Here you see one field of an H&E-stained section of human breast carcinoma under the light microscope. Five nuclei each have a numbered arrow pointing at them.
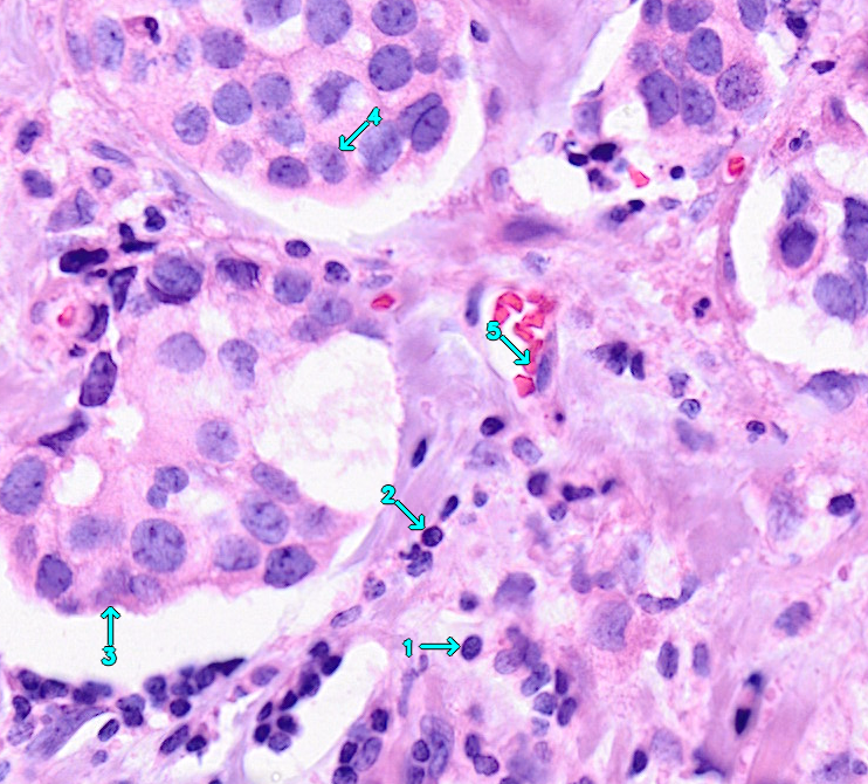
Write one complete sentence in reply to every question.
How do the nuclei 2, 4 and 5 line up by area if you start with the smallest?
From smallest to largest, the order is 2, 5, 4.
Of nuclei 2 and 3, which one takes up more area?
It is nucleus 3, which covers about 2.5 times the area of nucleus 2.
